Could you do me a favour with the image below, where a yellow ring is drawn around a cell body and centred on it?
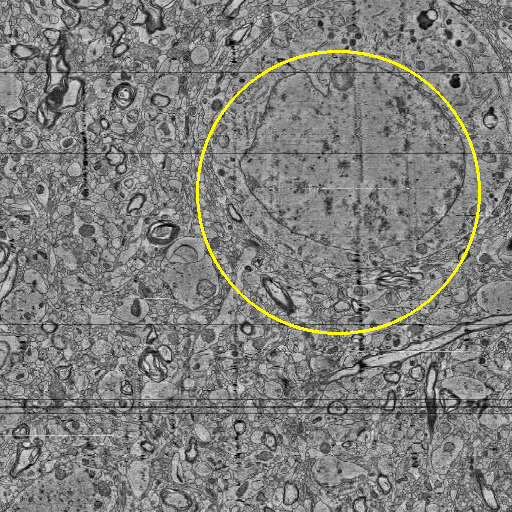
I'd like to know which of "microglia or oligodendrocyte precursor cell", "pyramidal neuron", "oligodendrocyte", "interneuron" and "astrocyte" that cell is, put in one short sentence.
The cell at the ring's centre is a pyramidal neuron.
